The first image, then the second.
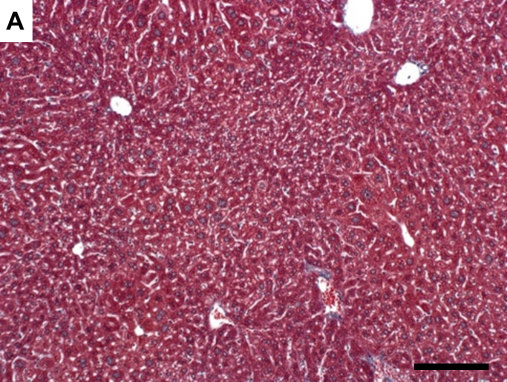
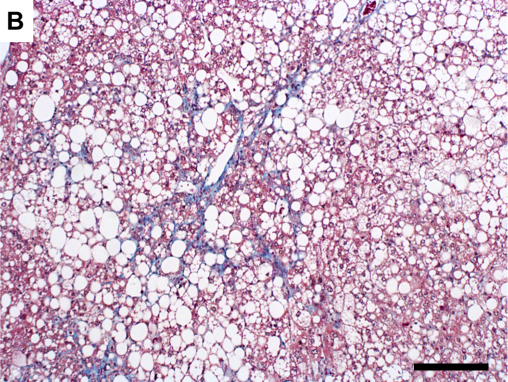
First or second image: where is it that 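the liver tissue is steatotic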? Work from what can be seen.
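Second image: cells are filled with many clear round vacuoles of varying size. First image: cells have uniform red cytoplasm without clear vacuoles.
Hence: the second image.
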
